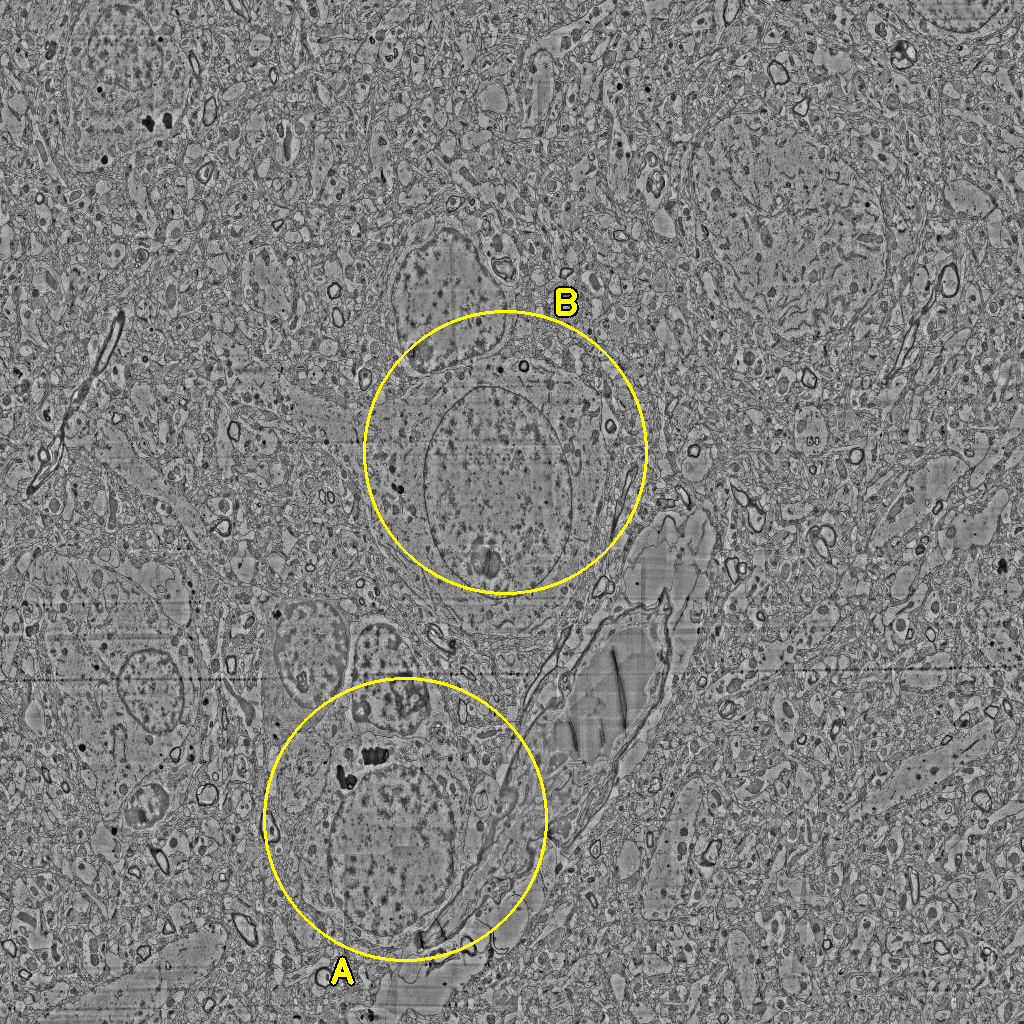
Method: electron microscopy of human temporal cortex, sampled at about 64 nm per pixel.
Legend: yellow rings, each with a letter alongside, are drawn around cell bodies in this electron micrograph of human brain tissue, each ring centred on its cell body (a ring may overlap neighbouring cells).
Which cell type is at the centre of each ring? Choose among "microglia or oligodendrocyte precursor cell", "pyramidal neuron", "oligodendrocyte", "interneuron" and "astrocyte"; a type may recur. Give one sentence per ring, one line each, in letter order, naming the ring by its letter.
Ring A has an interneuron at its centre.
Ring B has a pyramidal neuron at its centre.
